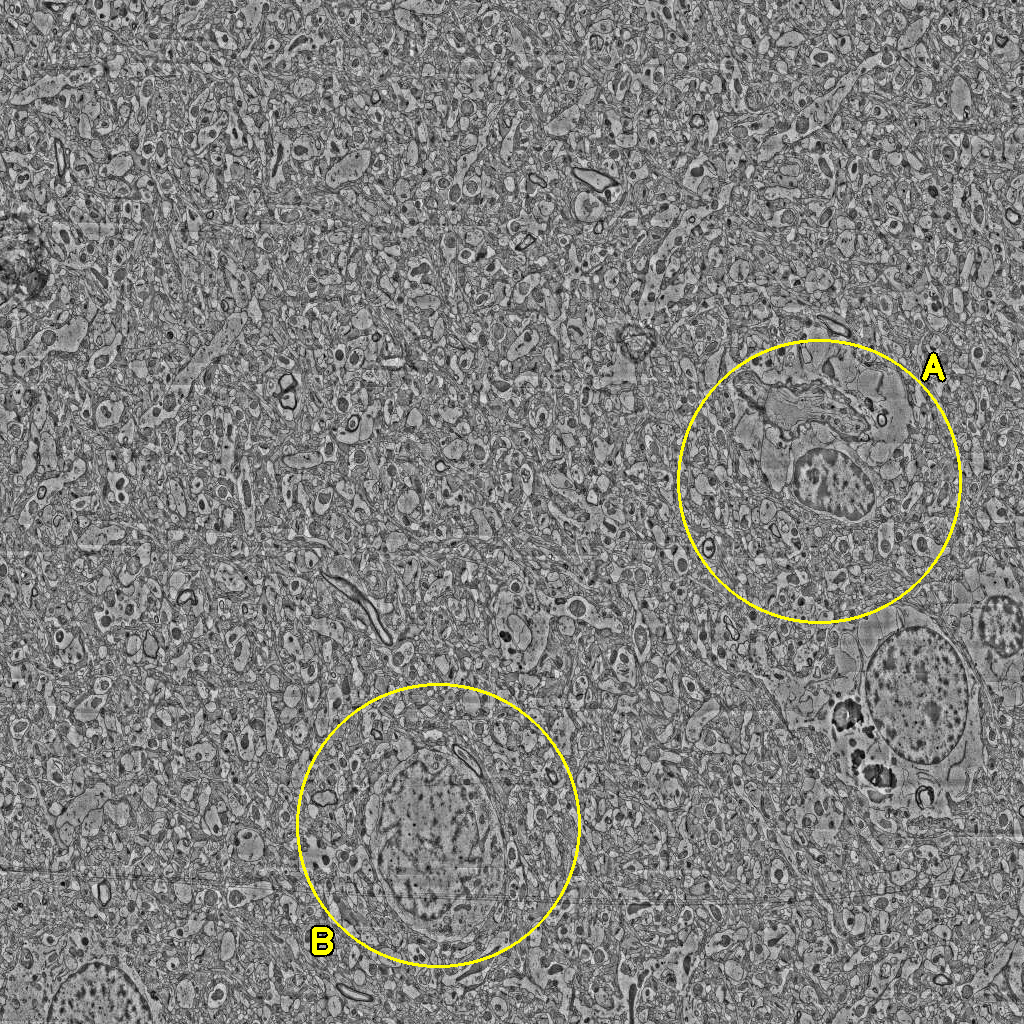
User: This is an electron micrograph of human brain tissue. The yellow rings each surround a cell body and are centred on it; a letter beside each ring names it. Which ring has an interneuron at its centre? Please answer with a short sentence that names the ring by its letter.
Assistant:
Ring B has it at its centre.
